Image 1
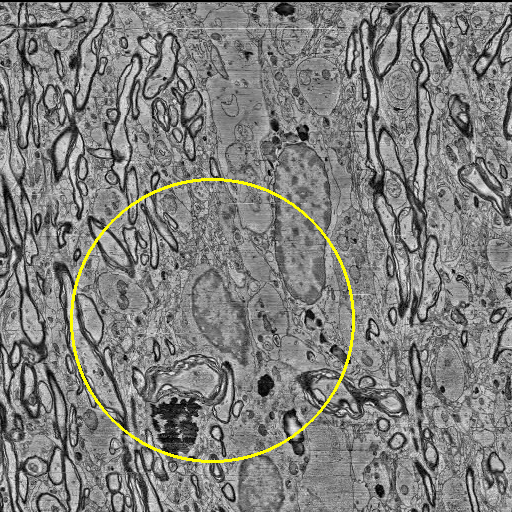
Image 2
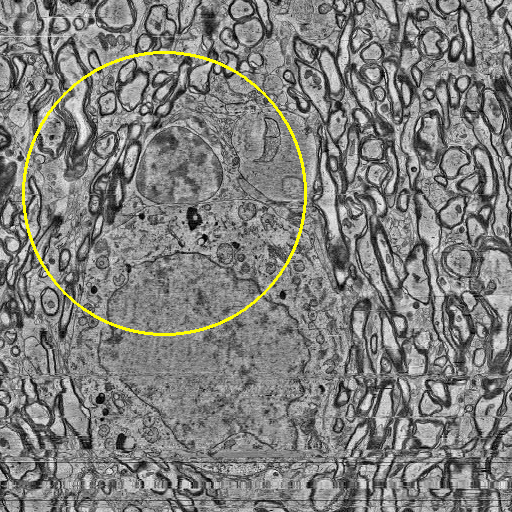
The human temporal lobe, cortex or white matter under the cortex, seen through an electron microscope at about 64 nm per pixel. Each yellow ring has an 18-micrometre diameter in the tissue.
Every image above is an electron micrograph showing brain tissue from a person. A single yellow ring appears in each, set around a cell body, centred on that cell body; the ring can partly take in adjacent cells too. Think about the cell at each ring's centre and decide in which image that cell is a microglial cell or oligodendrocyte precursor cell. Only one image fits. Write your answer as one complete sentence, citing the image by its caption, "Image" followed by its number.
Image 2 is the one whose ringed central cell fits the description.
